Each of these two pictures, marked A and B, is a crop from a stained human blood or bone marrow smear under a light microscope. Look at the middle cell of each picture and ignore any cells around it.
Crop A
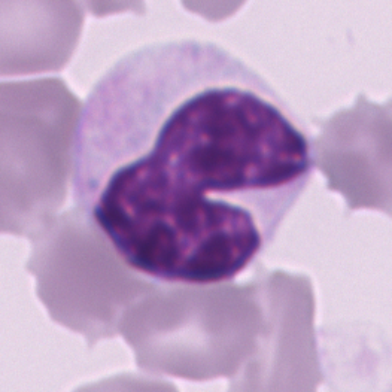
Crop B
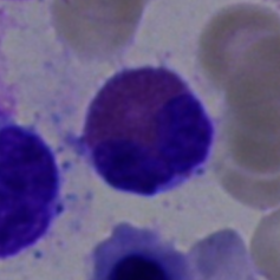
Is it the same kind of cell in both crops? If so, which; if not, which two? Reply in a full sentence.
No, a band neutrophil is shown in crop A and an eosinophil in crop B.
